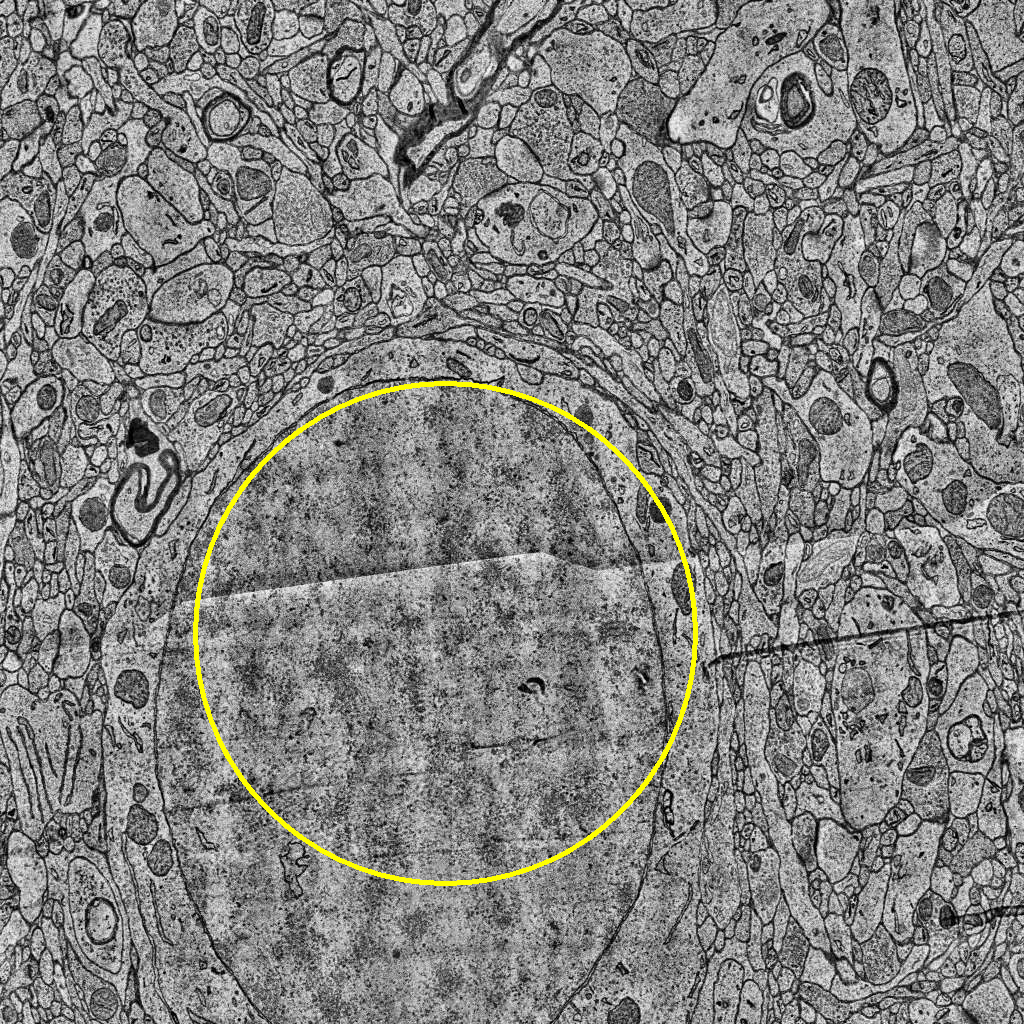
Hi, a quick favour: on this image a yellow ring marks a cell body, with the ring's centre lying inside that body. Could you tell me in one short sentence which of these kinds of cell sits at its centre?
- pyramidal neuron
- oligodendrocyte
The ring's centre lies in a pyramidal neuron.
